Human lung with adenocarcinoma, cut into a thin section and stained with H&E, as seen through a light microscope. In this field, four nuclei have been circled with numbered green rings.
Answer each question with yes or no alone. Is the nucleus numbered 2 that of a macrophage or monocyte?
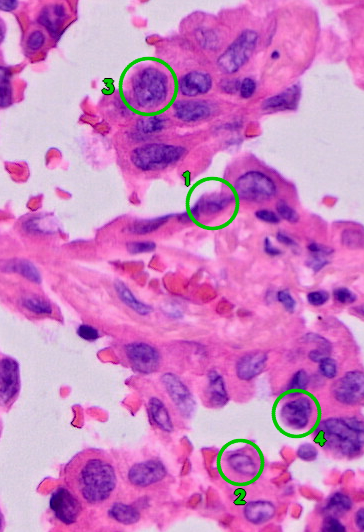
yes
